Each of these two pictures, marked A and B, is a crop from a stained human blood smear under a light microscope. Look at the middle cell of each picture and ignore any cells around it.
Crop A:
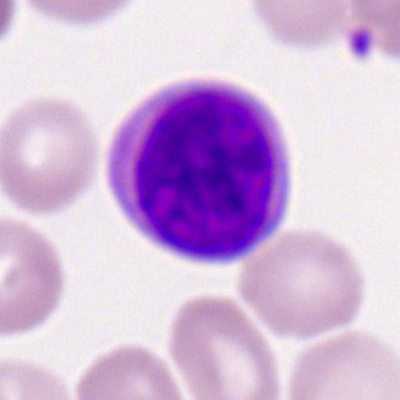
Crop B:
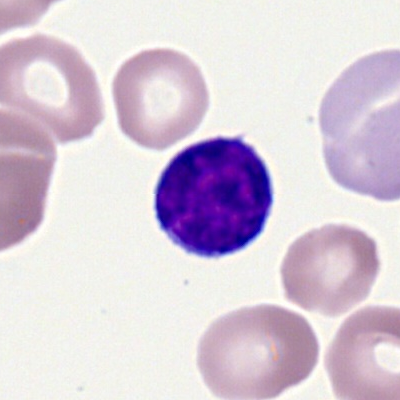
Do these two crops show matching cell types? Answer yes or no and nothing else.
yes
